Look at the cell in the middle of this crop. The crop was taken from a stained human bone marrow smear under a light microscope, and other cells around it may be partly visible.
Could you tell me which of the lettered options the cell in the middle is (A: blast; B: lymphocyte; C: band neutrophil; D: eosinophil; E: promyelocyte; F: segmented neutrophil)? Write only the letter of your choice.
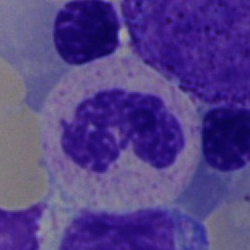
F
